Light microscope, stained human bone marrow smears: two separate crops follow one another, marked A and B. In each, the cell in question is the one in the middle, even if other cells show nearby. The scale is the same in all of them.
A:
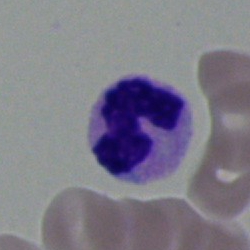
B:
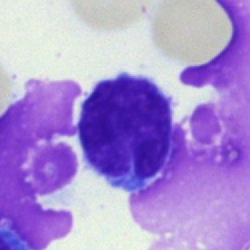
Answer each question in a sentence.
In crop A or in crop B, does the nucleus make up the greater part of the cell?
In crop B the nucleus takes up the larger part of its cell.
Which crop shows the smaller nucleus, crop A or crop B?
It is the nucleus in crop A; the one in crop B has about 1.5 times its area.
